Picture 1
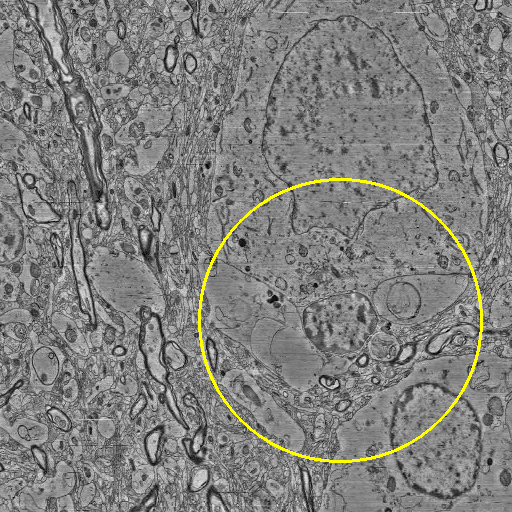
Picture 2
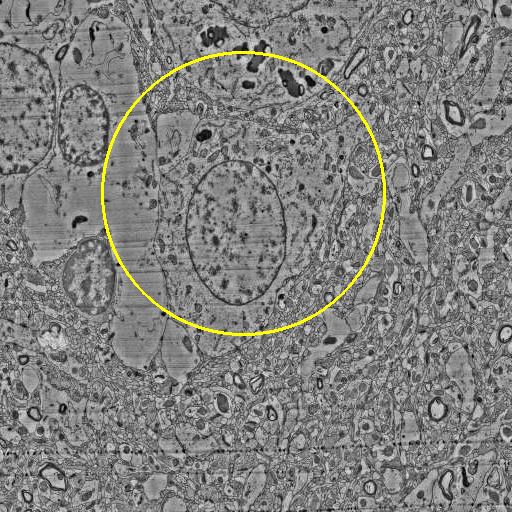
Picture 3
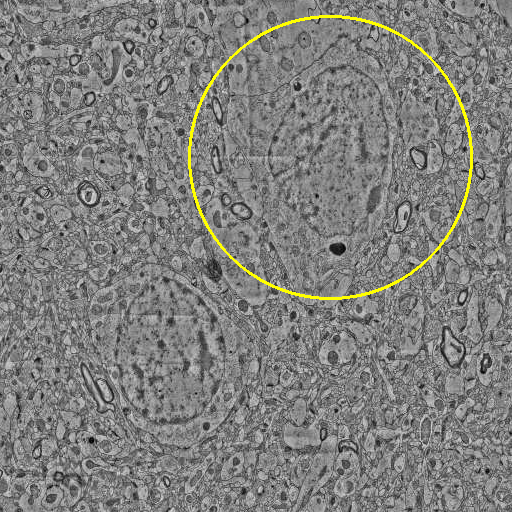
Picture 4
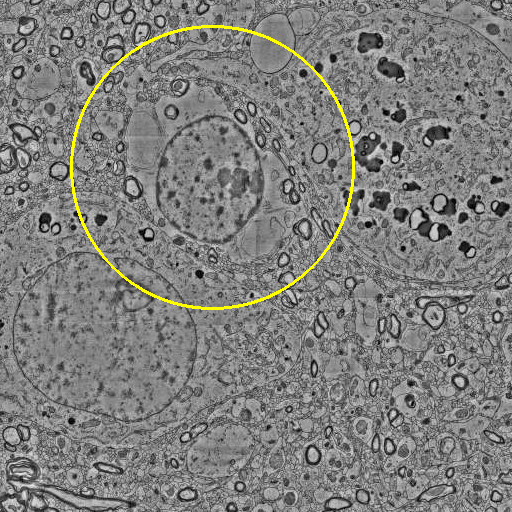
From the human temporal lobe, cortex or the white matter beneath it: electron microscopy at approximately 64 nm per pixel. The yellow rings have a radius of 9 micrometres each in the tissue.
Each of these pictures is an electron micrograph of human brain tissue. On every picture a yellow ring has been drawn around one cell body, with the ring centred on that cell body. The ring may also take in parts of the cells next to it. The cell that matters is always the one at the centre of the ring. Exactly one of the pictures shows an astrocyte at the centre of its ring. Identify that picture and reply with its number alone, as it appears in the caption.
4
